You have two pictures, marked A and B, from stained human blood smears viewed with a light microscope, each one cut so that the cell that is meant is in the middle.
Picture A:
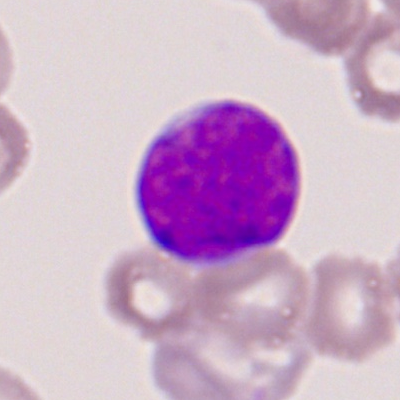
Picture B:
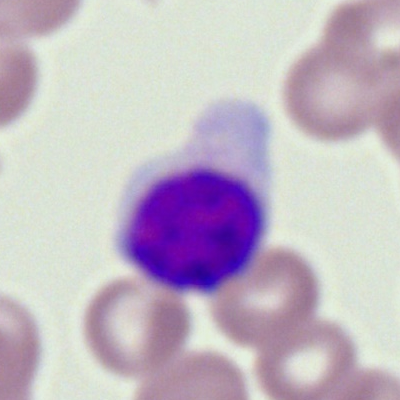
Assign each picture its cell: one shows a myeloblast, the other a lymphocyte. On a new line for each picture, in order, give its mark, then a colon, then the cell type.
A: myeloblast
B: lymphocyte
